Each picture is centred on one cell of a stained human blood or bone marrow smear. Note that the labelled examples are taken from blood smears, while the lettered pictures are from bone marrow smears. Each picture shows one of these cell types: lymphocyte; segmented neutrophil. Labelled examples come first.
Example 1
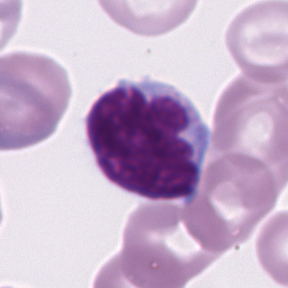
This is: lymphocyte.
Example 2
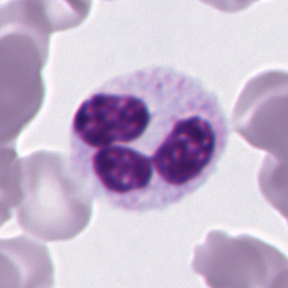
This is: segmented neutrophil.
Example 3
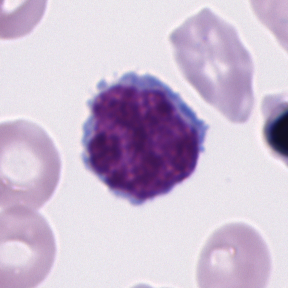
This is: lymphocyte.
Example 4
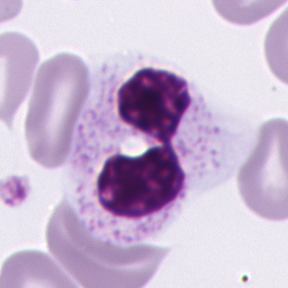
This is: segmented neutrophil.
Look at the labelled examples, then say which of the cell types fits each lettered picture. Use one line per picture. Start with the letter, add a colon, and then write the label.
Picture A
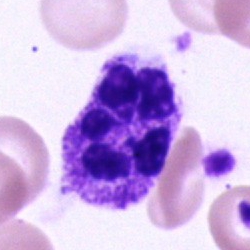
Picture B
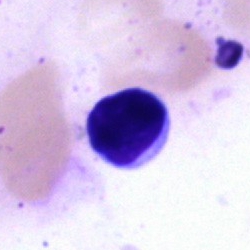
A: segmented neutrophil.
B: lymphocyte.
